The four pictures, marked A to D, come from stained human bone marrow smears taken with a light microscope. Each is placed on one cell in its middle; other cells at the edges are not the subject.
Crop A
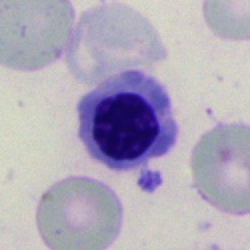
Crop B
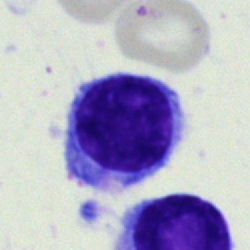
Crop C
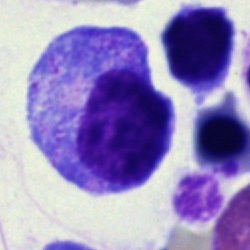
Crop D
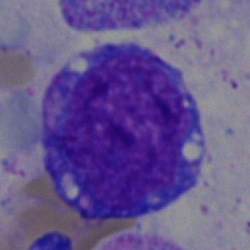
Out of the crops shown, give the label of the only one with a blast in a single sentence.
Crop D, and no other, shows a blast.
